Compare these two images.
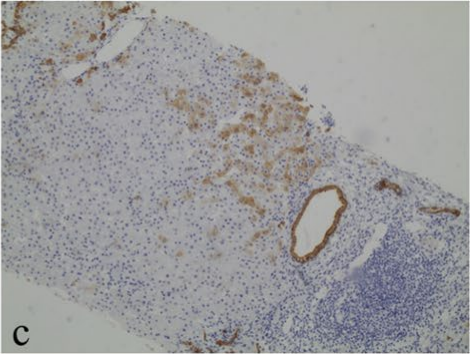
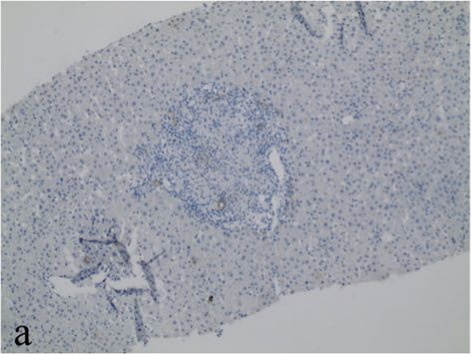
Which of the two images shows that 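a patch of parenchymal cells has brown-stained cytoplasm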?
the first image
